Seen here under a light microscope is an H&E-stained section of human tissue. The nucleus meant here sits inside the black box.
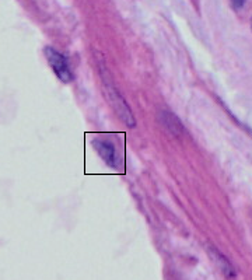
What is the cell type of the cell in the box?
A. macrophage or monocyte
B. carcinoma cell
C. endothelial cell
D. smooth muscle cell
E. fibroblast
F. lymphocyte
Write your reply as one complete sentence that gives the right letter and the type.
Option C names it right: the cell in the box is an endothelial cell.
